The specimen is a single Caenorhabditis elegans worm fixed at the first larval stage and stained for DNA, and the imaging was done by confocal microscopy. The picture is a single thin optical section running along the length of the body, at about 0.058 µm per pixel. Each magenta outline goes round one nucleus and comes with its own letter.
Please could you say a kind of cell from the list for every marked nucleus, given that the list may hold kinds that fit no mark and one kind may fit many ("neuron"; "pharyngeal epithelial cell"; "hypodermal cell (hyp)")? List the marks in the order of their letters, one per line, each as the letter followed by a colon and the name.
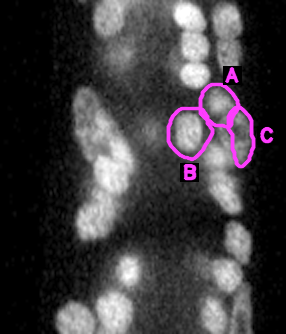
A: neuron
B: neuron
C: hypodermal cell (hyp)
